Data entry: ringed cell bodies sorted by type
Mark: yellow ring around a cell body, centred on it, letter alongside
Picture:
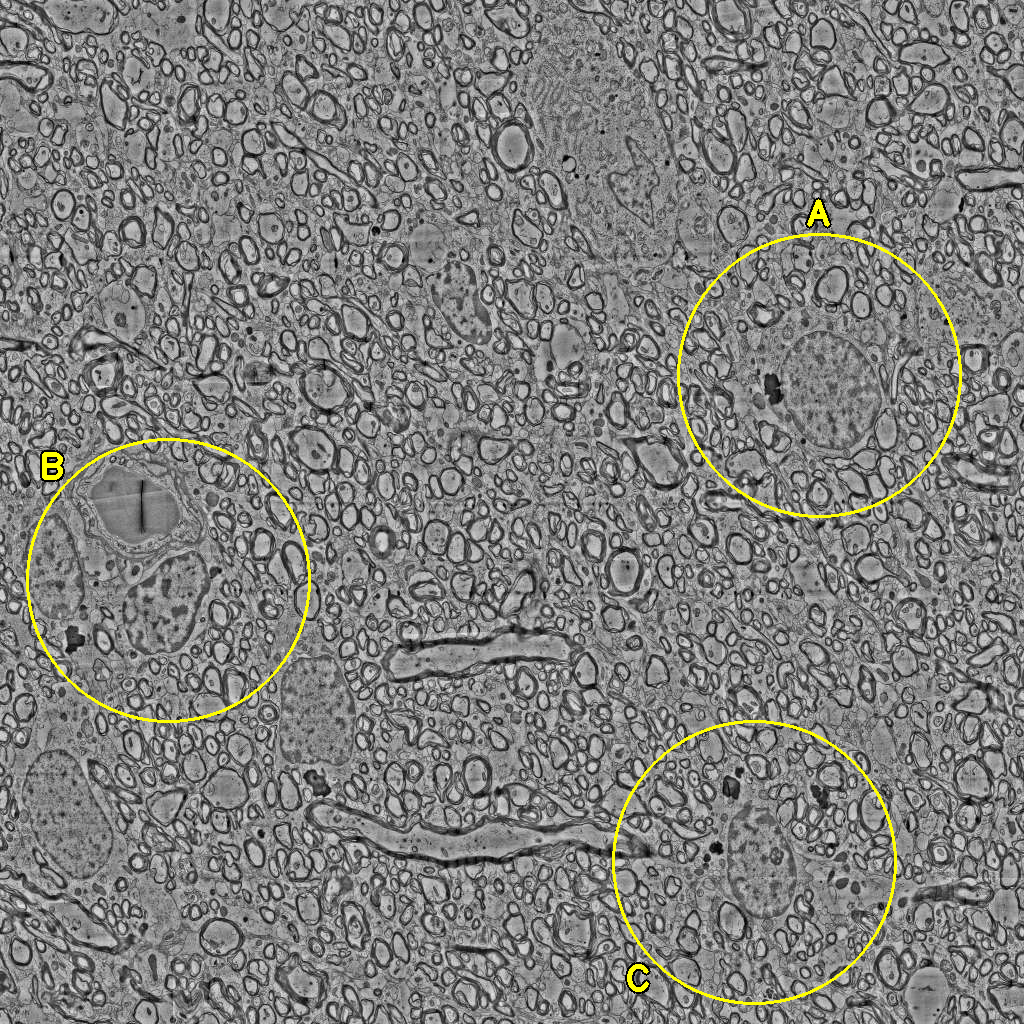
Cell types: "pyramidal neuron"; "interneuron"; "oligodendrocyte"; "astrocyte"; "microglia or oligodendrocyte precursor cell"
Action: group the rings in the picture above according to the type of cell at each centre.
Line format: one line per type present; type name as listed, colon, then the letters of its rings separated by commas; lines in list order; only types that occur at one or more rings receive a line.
oligodendrocyte: A, C
microglia or oligodendrocyte precursor cell: B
